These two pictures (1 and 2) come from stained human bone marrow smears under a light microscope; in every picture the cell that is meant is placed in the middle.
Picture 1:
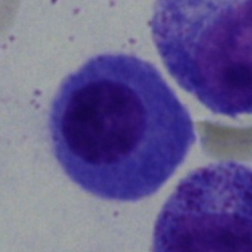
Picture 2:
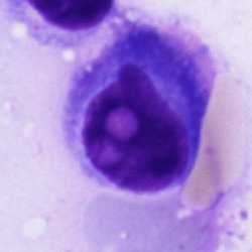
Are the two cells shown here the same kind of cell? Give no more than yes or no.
yes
